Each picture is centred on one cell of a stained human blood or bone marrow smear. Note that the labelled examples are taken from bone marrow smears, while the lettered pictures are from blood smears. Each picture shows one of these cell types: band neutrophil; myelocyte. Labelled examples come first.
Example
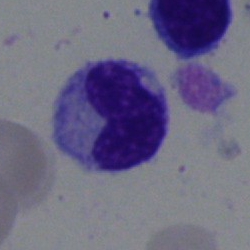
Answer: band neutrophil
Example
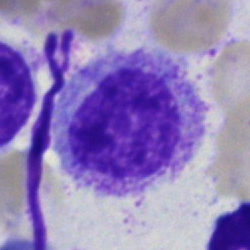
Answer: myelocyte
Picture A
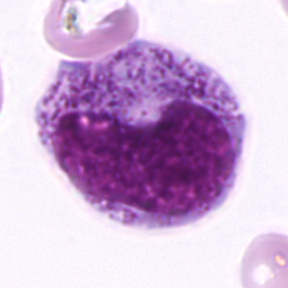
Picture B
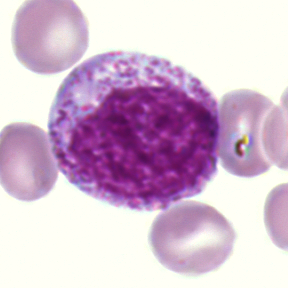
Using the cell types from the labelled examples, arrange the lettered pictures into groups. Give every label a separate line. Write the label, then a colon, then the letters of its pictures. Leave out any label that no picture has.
myelocyte: A, B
